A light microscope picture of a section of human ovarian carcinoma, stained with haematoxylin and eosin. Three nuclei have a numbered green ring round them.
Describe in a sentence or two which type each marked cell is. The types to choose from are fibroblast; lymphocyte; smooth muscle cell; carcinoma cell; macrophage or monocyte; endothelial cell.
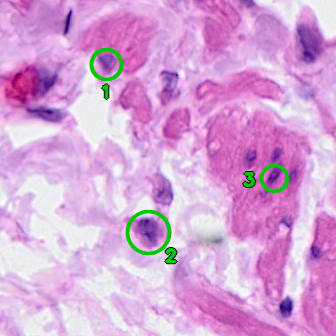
Cells 1 and 3 are smooth muscle cells. Cell 2 is a macrophage or monocyte.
